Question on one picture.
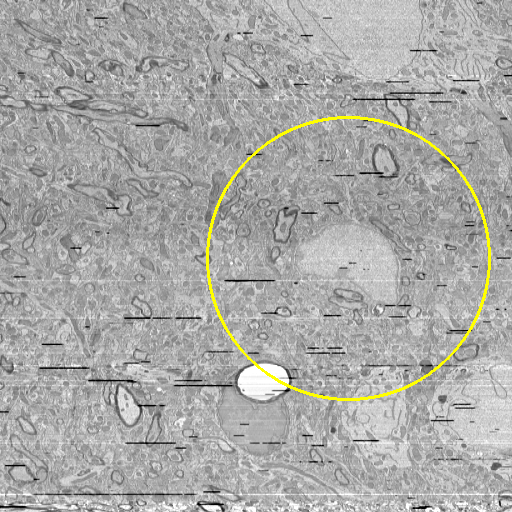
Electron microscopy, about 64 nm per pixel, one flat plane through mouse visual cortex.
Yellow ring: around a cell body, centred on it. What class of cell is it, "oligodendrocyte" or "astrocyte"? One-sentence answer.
This is an astrocyte, the cell the ring is centred on.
